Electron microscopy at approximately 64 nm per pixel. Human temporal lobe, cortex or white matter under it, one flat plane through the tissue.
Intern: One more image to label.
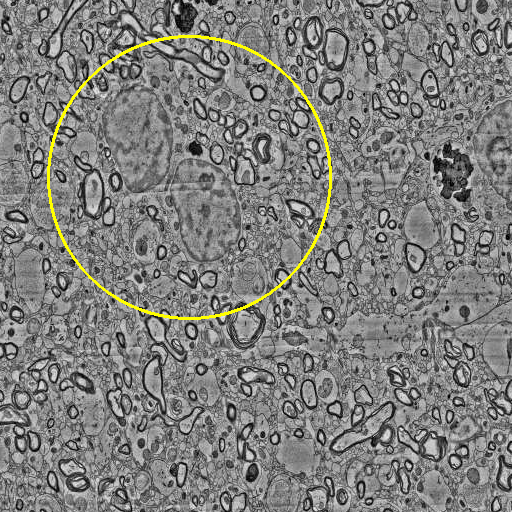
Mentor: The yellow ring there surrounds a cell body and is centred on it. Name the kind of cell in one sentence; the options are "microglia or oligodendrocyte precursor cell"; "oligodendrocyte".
The ring marks the cell body of an oligodendrocyte.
